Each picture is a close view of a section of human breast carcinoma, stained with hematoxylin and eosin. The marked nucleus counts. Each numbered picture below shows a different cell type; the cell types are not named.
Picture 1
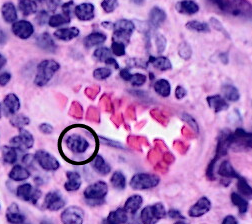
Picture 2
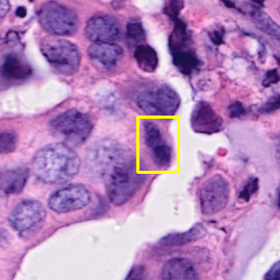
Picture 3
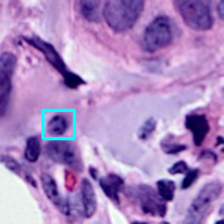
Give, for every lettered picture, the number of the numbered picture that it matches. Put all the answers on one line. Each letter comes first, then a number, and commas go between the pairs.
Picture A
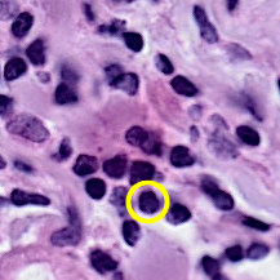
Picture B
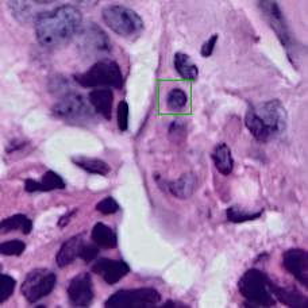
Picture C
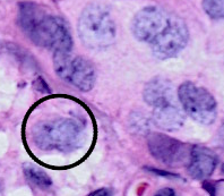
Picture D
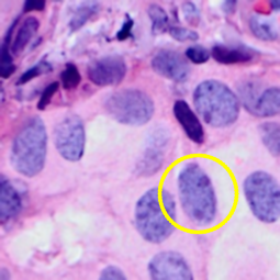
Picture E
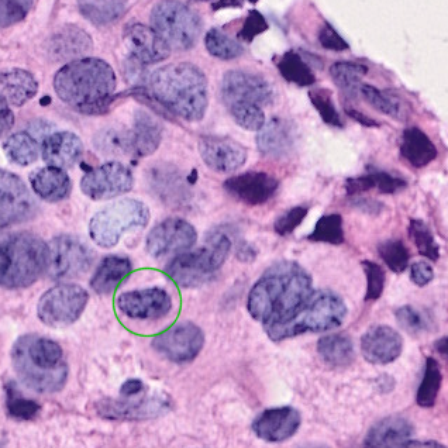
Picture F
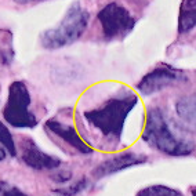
A 1, B 3, C 2, D 2, E 2, F 2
